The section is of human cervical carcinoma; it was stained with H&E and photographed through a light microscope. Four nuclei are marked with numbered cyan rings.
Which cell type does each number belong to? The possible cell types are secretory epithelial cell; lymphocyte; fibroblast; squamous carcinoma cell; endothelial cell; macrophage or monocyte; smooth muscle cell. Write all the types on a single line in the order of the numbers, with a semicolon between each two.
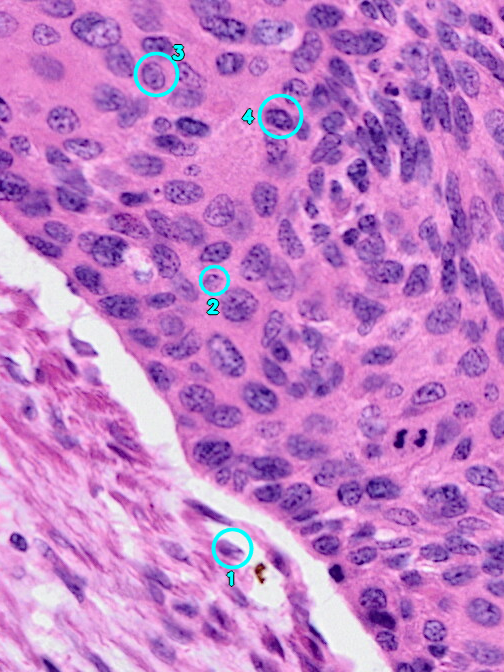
fibroblast; squamous carcinoma cell; squamous carcinoma cell; squamous carcinoma cell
